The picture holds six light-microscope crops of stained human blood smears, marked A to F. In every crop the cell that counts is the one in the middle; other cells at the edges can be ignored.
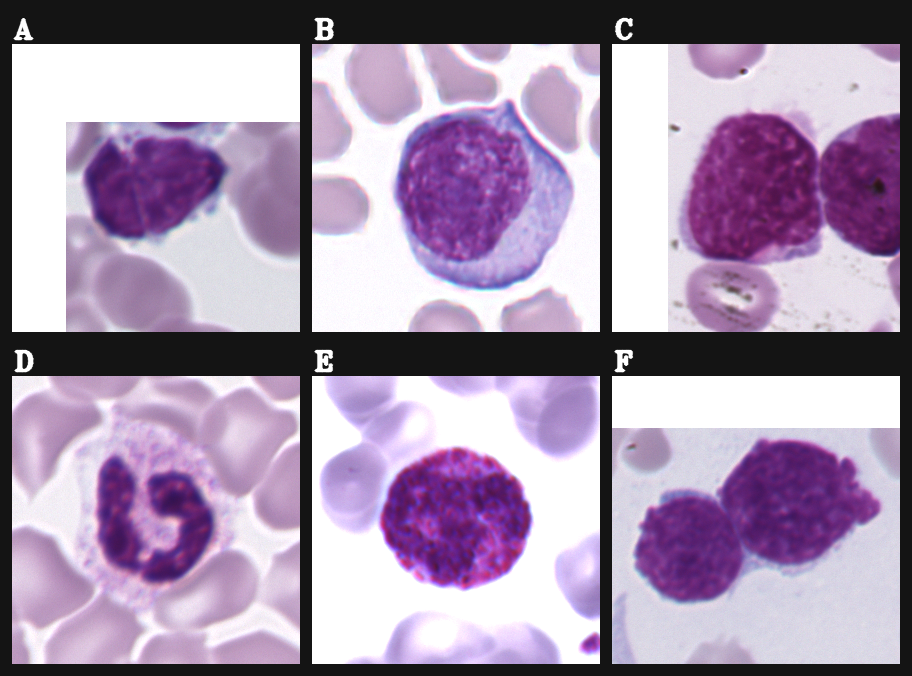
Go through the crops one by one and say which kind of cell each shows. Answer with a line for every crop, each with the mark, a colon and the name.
A: large granular lymphocyte
B: plasma cell
C: blast
D: neutrophil
E: basophil
F: blast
